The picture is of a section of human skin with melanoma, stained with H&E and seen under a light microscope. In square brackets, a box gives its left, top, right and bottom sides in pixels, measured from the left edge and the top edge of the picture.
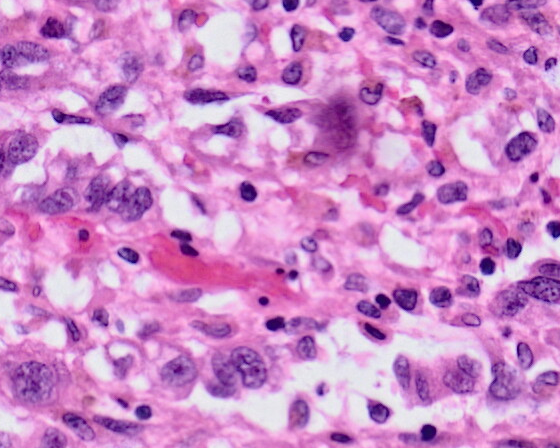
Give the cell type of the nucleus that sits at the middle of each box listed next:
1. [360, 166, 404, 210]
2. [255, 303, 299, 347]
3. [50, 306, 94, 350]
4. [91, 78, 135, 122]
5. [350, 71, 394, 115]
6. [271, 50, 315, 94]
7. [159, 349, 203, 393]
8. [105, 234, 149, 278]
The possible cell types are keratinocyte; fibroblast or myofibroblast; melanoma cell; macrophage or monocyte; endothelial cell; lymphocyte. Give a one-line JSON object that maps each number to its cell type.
{"1": "macrophage or monocyte", "2": "lymphocyte", "3": "macrophage or monocyte", "4": "melanoma cell", "5": "macrophage or monocyte", "6": "macrophage or monocyte", "7": "melanoma cell", "8": "lymphocyte"}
